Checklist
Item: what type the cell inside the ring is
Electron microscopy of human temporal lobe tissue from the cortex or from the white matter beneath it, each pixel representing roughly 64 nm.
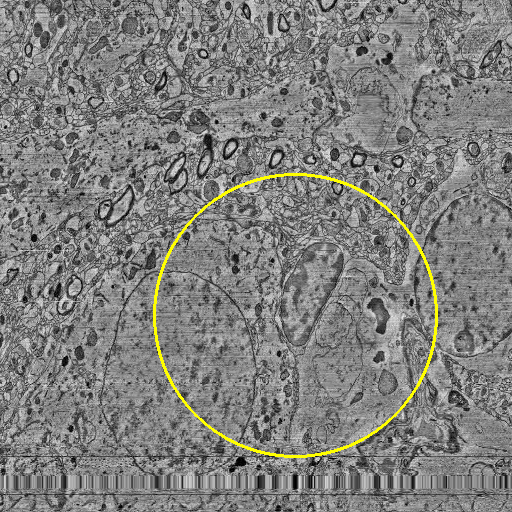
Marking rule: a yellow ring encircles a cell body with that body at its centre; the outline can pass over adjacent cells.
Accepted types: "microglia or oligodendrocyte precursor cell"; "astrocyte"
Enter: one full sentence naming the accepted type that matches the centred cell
The entry is that a microglial cell or oligodendrocyte precursor cell lies at the centre of the yellow ring.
